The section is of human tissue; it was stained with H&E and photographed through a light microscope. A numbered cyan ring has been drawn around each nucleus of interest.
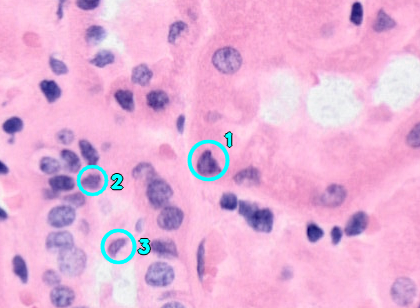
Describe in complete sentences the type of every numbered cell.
Cell 1 is a proximal tubule cell, cell 2 is a collecting duct cell and cell 3 is a collecting duct cell.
